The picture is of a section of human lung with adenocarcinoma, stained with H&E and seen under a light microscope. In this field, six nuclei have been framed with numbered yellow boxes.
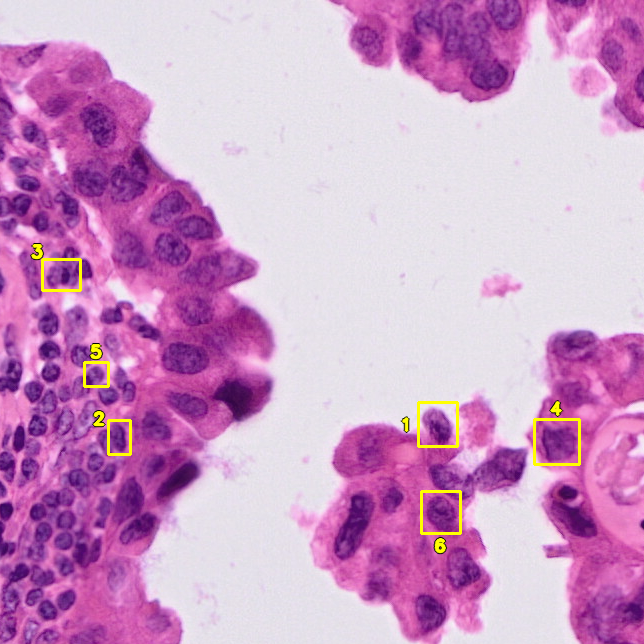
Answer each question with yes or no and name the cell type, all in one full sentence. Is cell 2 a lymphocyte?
Yes, the cell identified as number 2 is a lymphocyte.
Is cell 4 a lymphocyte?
No, that is wrong: cell 4 is a carcinoma cell, and not a lymphocyte.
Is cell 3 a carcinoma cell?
No, number 3 corresponds to a lymphocyte, not a carcinoma cell.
